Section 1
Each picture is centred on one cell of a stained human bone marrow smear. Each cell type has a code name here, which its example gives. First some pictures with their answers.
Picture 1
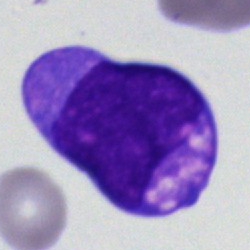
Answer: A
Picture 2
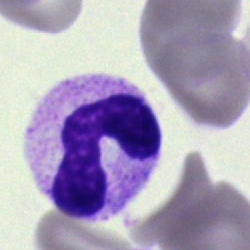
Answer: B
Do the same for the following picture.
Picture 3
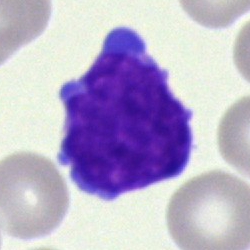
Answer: A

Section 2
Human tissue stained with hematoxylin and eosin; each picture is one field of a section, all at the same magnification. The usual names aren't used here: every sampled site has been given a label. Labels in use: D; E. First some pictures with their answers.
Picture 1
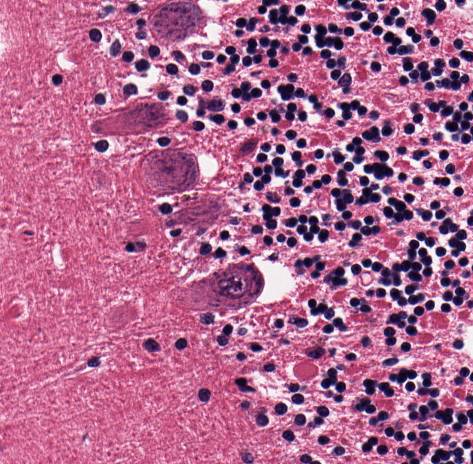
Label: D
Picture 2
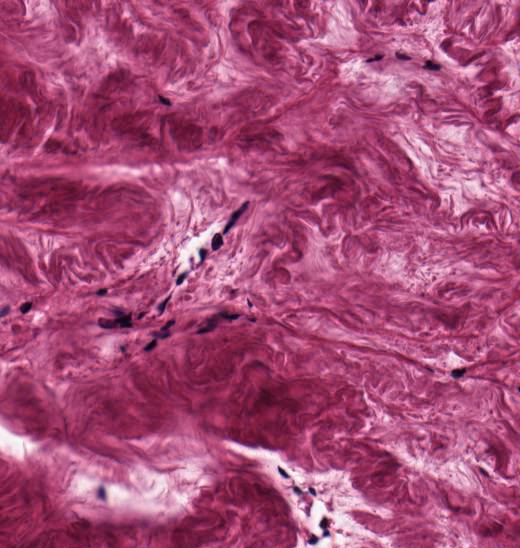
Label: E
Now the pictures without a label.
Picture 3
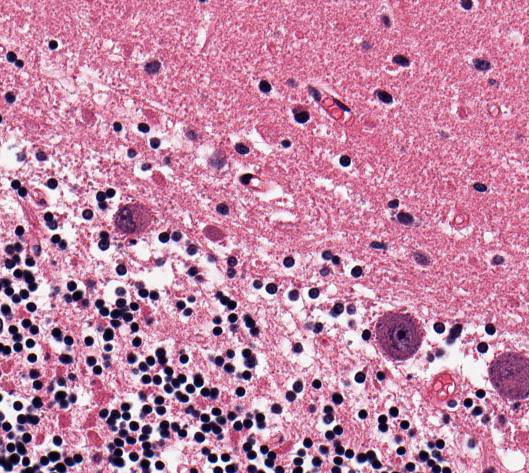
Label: D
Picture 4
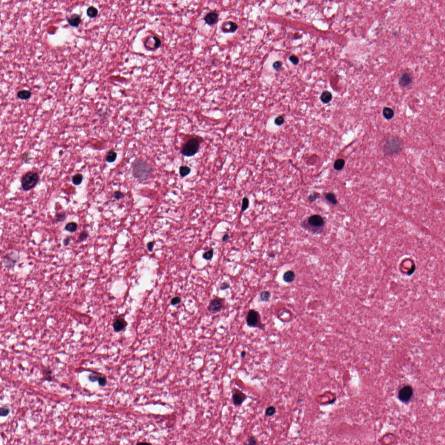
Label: D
